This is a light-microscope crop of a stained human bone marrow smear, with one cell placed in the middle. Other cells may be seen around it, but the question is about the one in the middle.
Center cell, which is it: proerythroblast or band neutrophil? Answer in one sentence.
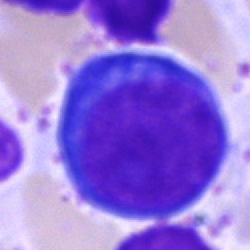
The cell at the centre of the field is a proerythroblast.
